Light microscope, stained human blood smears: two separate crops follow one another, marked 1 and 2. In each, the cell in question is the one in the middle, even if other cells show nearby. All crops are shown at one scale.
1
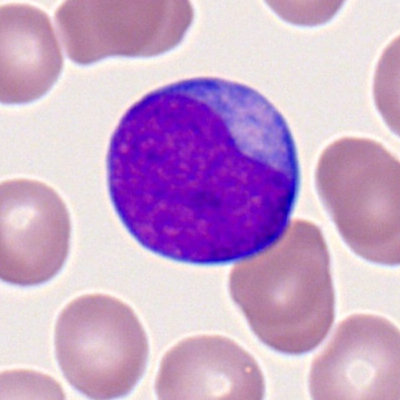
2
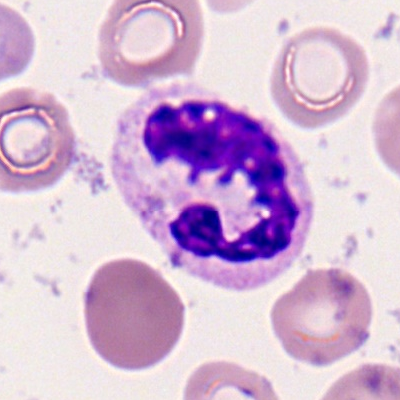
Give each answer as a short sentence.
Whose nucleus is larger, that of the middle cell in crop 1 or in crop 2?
Larger is the nucleus in crop 1, at roughly 2 times the area of the other.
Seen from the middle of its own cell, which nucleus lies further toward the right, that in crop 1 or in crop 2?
Seen within its cell, the nucleus in crop 2 lies further toward the right.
